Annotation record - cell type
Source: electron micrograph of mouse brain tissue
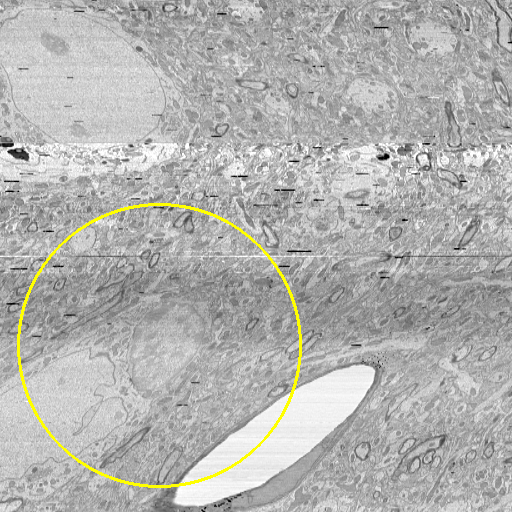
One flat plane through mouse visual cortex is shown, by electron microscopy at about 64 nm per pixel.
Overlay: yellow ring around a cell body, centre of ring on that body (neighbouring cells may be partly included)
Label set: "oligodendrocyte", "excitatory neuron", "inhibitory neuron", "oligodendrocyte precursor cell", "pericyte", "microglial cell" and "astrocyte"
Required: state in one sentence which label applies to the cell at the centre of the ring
This cell should be labelled as an oligodendrocyte.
